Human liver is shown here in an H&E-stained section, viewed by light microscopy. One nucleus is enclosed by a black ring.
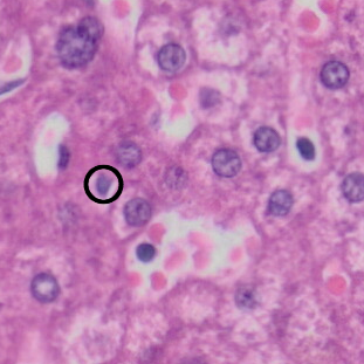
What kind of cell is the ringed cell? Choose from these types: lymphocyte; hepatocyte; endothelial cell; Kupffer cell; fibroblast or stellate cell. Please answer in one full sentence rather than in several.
It is as a lymphocyte that the ringed cell is classified.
